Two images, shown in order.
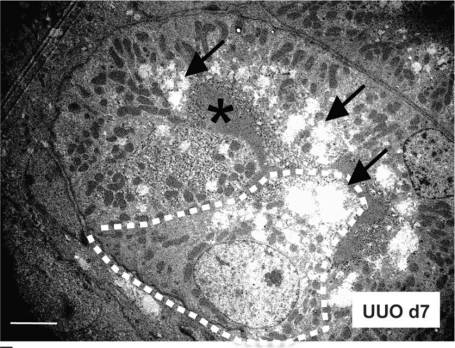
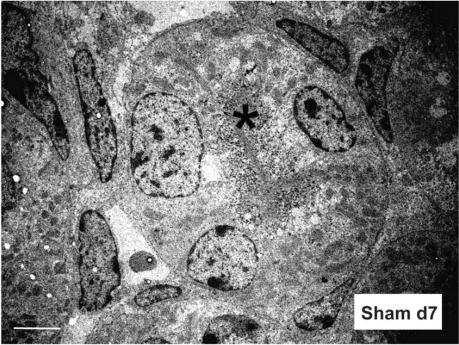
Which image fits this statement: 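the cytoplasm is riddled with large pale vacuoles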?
The first image.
